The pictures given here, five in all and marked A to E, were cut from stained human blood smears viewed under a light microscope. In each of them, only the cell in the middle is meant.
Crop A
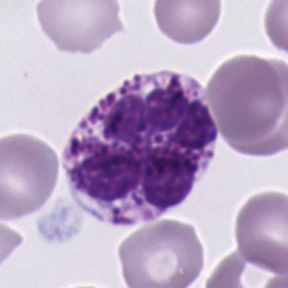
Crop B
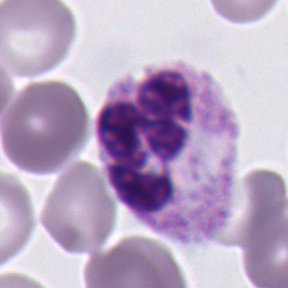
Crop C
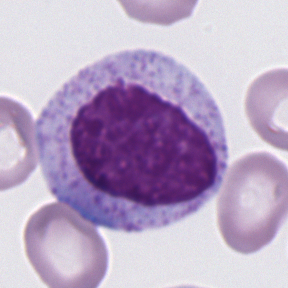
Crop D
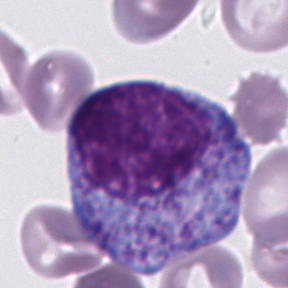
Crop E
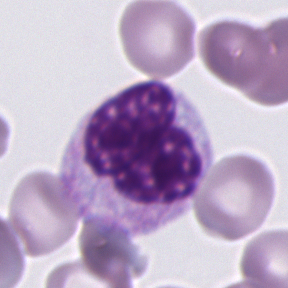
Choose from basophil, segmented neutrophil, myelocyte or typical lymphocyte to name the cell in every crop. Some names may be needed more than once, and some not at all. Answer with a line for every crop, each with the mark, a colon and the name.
A: basophil
B: segmented neutrophil
C: myelocyte
D: myelocyte
E: segmented neutrophil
